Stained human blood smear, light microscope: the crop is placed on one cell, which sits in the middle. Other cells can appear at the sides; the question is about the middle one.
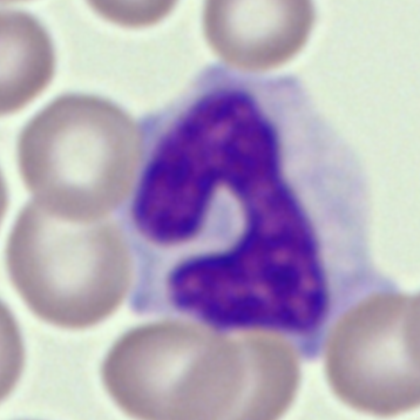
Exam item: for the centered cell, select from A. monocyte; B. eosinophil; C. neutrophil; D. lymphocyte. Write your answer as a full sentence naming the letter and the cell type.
The central cell in this crop is a monocyte, corresponding to option A, the correct option.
